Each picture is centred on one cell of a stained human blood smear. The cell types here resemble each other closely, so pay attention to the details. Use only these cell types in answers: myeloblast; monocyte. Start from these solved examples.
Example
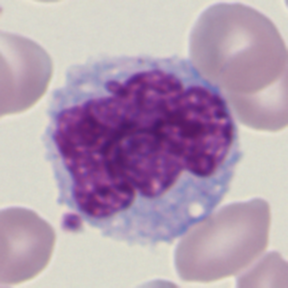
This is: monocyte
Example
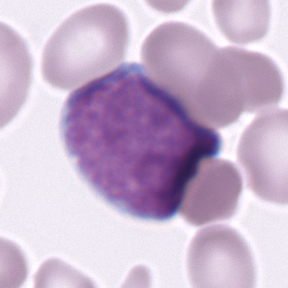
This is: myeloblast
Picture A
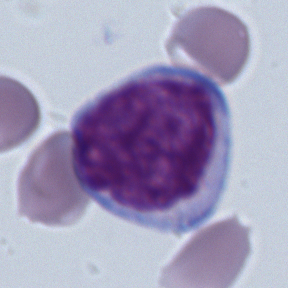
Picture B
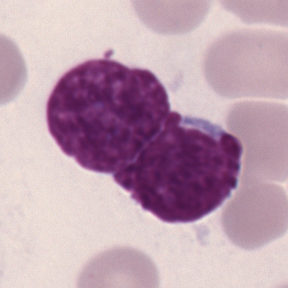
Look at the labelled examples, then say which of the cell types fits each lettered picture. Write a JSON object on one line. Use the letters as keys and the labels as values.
{"A": "myeloblast", "B": "myeloblast"}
